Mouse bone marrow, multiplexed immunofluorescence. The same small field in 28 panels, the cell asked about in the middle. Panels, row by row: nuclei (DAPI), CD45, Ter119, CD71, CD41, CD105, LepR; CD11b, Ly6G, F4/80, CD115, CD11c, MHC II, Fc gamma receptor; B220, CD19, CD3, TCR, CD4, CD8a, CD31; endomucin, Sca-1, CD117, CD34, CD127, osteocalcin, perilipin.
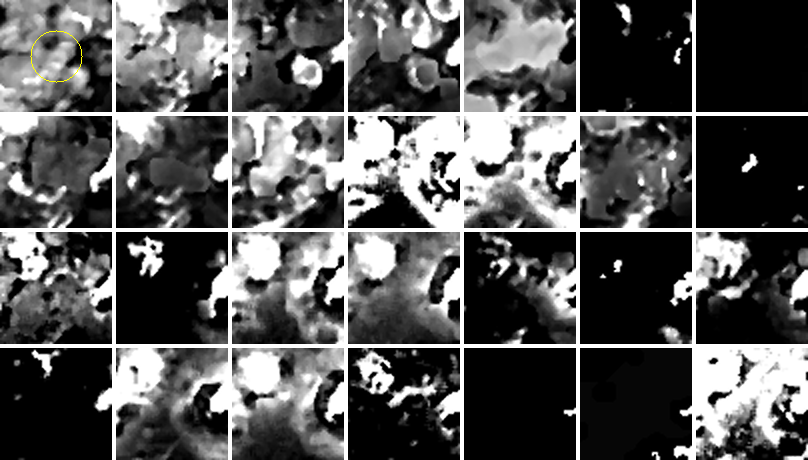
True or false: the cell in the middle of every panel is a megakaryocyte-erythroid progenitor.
False; it is a conventional dendritic cell.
